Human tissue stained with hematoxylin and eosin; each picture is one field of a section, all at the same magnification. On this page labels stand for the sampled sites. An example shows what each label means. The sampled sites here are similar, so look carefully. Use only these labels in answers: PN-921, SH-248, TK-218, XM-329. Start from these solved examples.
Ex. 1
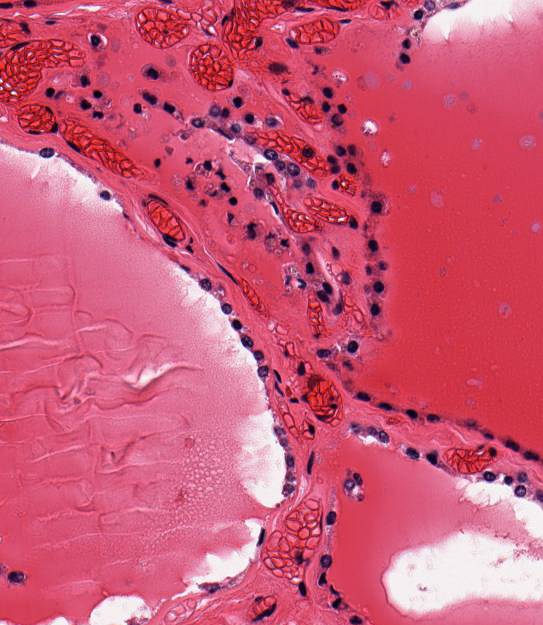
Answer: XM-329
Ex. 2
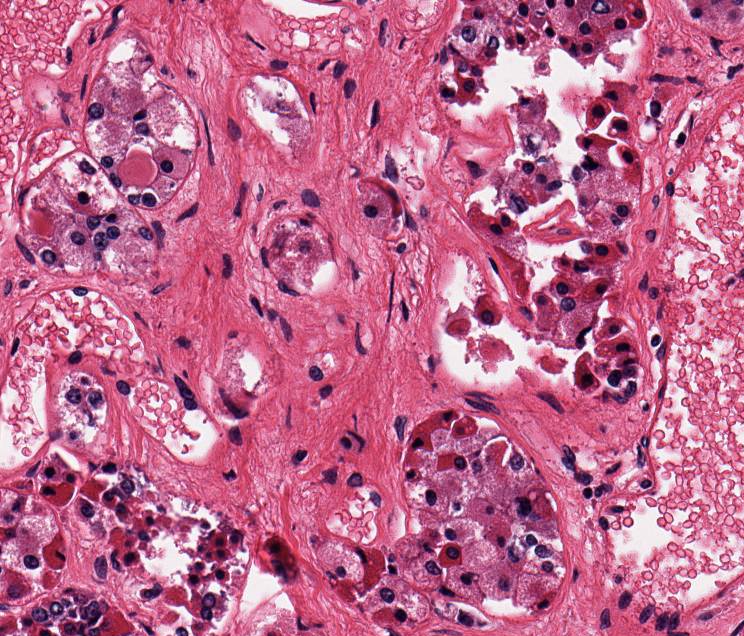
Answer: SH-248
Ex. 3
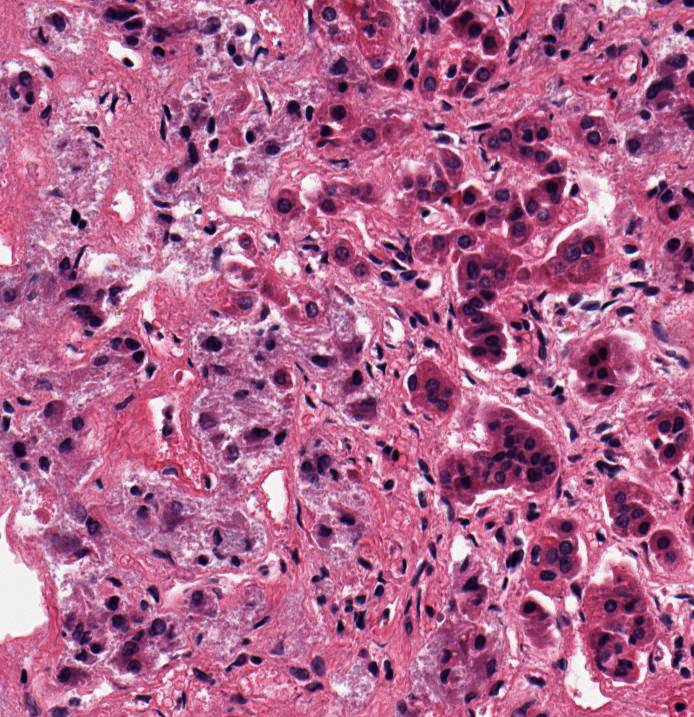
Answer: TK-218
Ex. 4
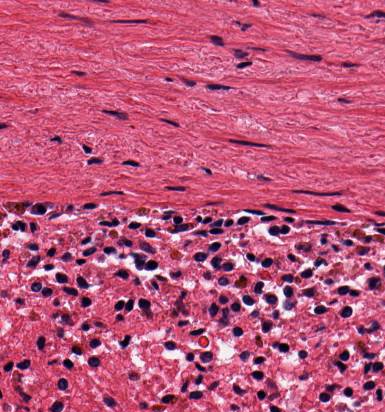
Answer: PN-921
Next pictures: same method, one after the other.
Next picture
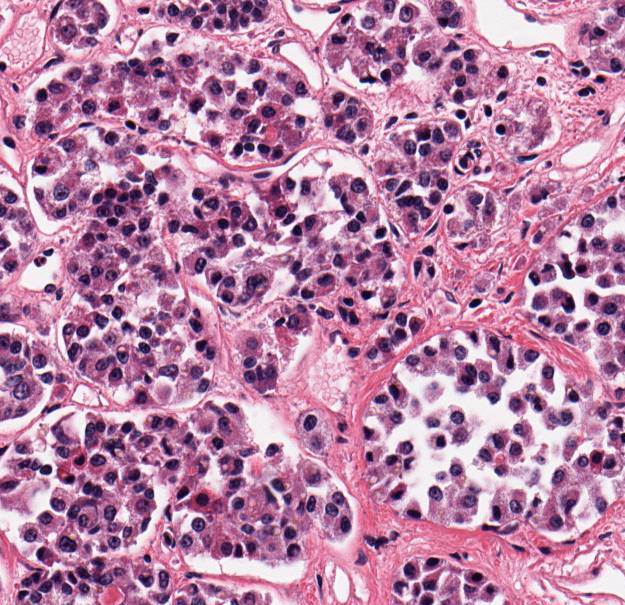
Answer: SH-248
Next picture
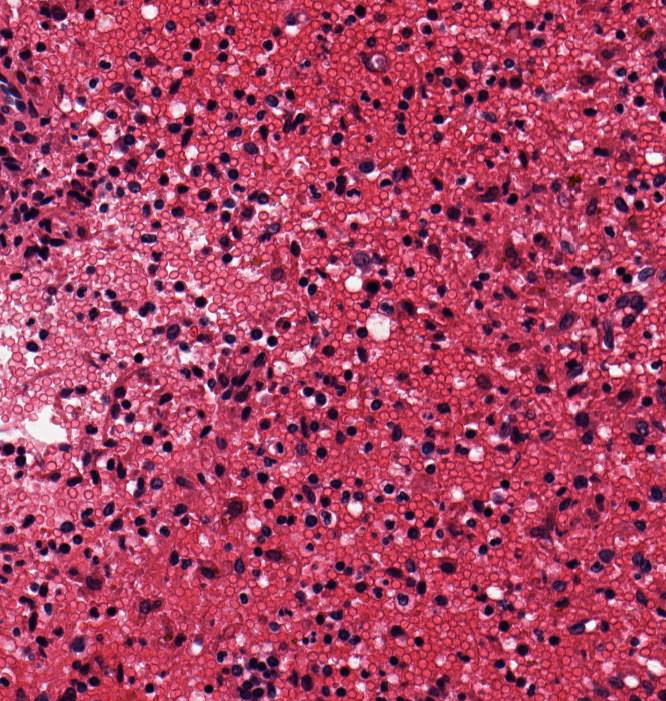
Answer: PN-921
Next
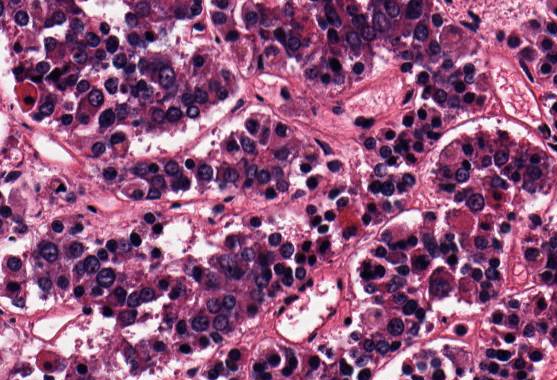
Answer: SH-248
